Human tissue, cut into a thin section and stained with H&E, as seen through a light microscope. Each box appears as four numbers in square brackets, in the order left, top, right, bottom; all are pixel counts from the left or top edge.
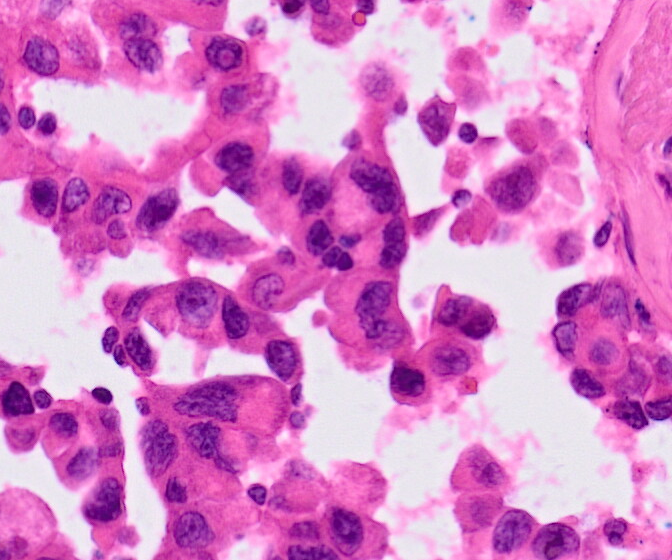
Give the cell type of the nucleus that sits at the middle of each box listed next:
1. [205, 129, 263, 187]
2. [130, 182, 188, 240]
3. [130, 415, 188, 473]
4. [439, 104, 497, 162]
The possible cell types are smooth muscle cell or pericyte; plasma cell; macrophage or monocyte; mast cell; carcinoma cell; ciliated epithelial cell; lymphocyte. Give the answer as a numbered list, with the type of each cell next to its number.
1. carcinoma cell
2. carcinoma cell
3. carcinoma cell
4. lymphocyte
